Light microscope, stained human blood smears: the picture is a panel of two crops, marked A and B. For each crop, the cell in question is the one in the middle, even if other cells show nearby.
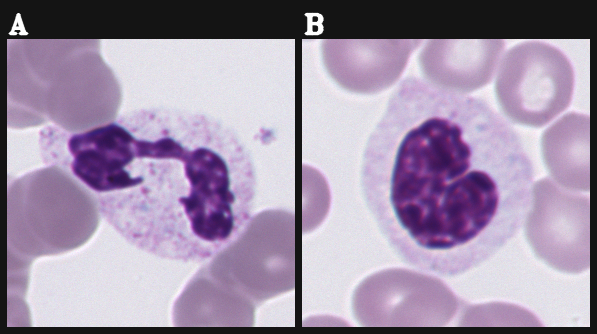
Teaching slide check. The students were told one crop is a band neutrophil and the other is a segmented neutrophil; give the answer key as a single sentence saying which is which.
In crop A, a segmented neutrophil is present; in crop B, a band neutrophil is present.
